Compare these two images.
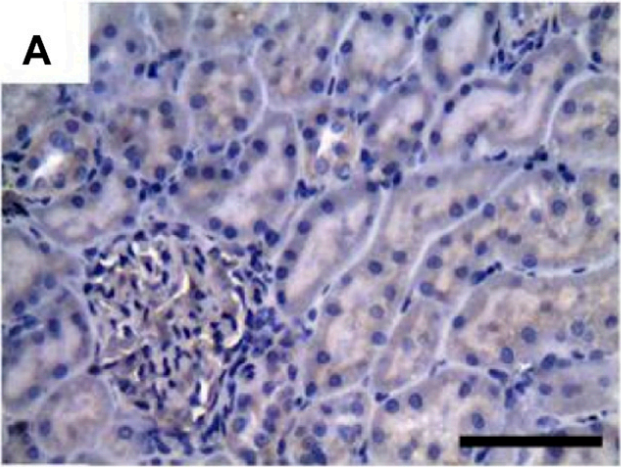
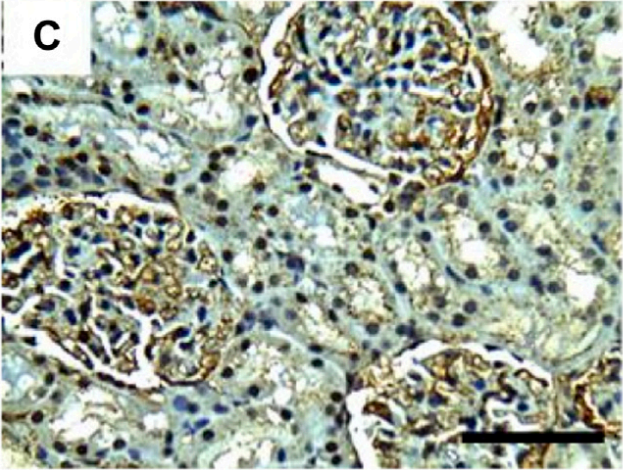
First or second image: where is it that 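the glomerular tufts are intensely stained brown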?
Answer: The second image.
